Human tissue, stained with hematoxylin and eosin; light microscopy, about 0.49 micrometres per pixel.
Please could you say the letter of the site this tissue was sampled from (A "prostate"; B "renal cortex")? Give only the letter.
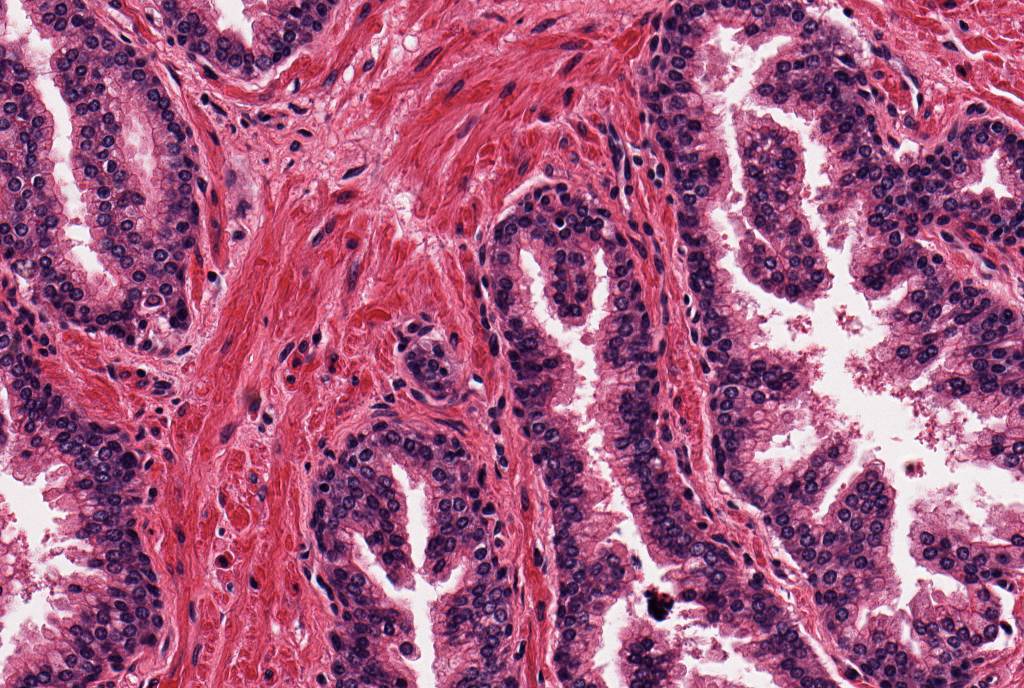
A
